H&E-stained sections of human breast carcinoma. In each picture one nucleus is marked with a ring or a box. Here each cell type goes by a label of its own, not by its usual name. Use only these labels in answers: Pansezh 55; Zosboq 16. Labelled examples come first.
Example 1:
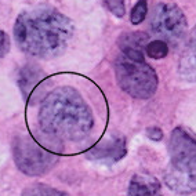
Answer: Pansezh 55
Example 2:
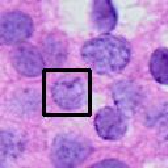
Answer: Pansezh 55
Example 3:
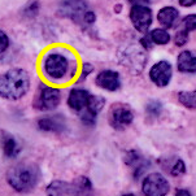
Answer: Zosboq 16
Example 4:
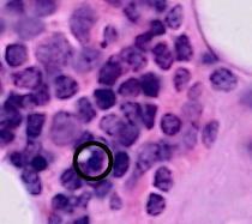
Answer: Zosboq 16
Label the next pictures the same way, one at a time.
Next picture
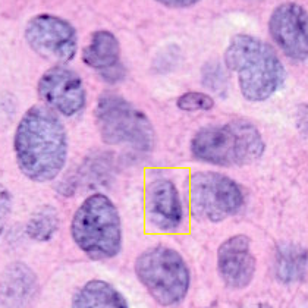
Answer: Pansezh 55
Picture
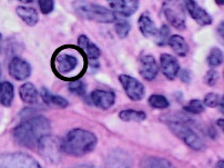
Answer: Zosboq 16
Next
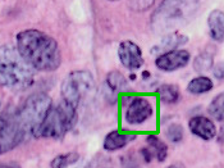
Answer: Zosboq 16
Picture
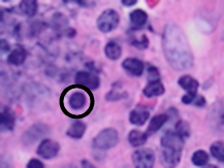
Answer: Zosboq 16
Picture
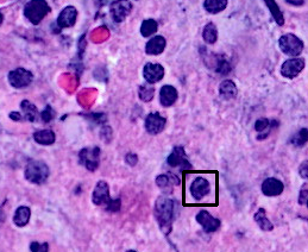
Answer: Zosboq 16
